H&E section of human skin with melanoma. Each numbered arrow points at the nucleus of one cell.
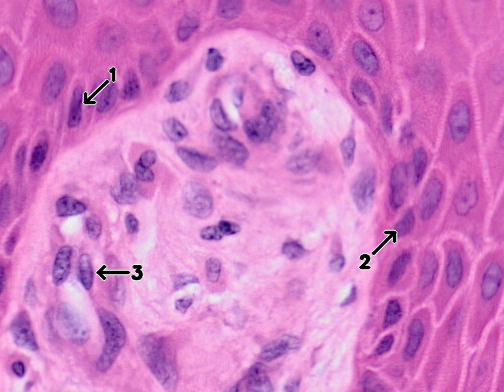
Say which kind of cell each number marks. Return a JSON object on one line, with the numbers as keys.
{"1": "keratinocyte", "2": "keratinocyte", "3": "endothelial cell"}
